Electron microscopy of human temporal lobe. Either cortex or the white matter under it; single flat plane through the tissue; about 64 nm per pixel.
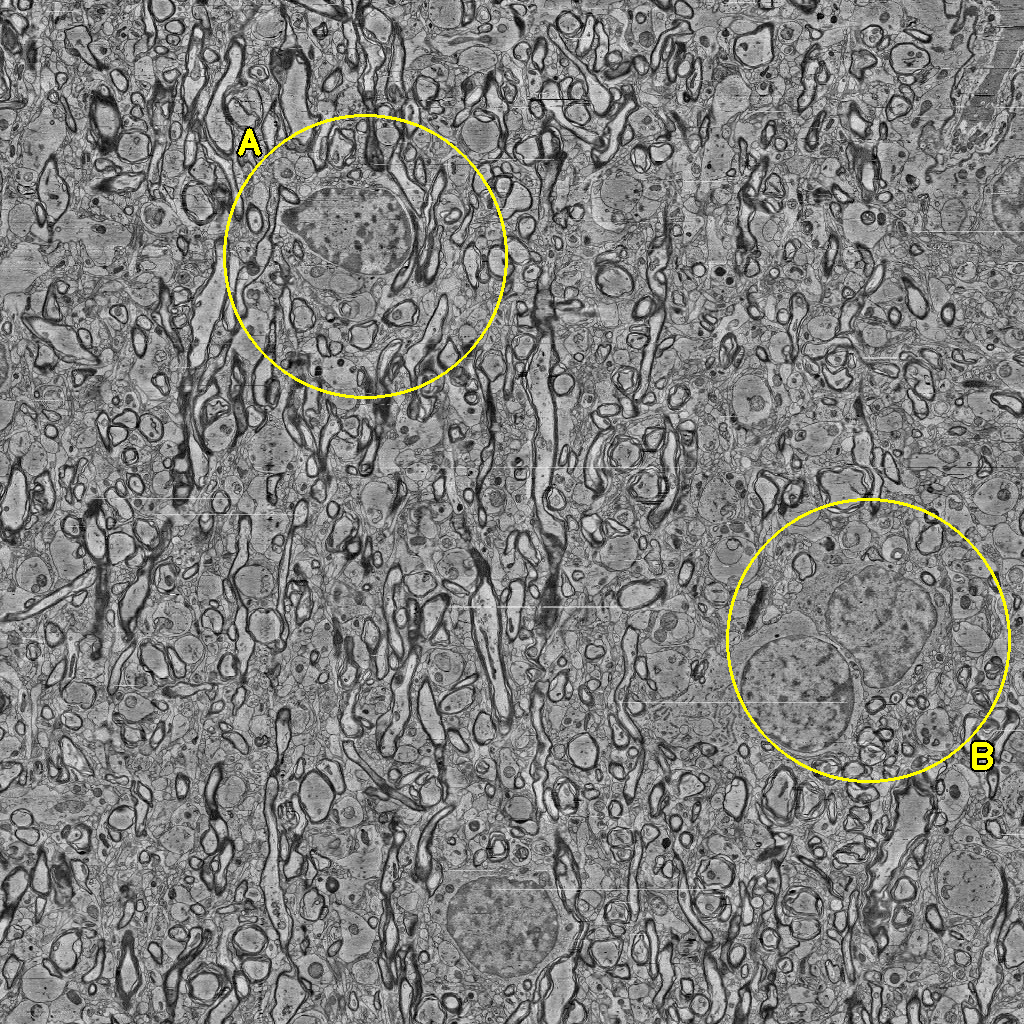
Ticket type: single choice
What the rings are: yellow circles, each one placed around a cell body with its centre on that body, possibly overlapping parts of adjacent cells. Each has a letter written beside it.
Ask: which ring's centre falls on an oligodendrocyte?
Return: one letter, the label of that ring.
B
